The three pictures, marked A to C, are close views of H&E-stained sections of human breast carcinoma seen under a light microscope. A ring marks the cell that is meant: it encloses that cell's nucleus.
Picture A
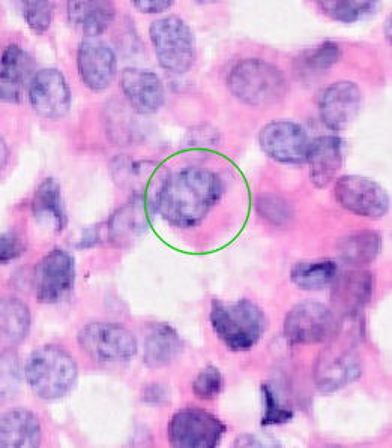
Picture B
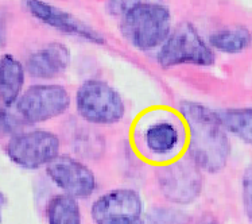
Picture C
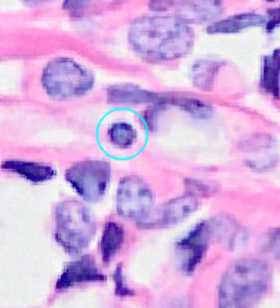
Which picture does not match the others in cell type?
A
